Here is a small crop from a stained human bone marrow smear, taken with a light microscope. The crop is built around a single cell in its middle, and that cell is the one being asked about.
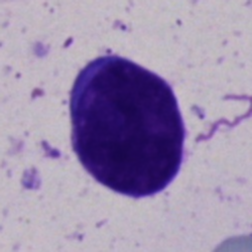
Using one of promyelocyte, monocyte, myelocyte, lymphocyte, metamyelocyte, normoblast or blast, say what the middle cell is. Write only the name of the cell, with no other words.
blast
